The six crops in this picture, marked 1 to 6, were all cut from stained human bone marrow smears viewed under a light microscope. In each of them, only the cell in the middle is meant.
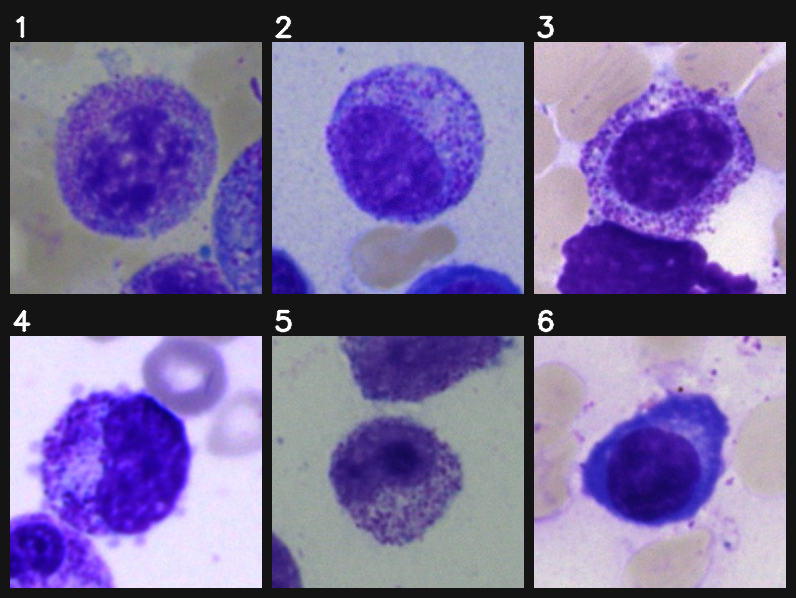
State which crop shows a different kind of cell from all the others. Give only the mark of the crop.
6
